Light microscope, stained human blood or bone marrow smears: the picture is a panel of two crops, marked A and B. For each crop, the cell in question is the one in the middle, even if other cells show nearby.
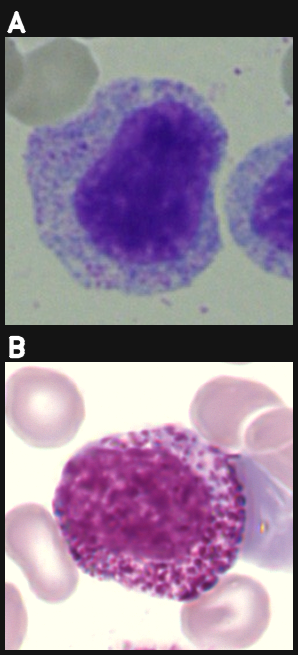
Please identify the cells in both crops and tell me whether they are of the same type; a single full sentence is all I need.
Yes, the cells in both crops are myelocytes.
